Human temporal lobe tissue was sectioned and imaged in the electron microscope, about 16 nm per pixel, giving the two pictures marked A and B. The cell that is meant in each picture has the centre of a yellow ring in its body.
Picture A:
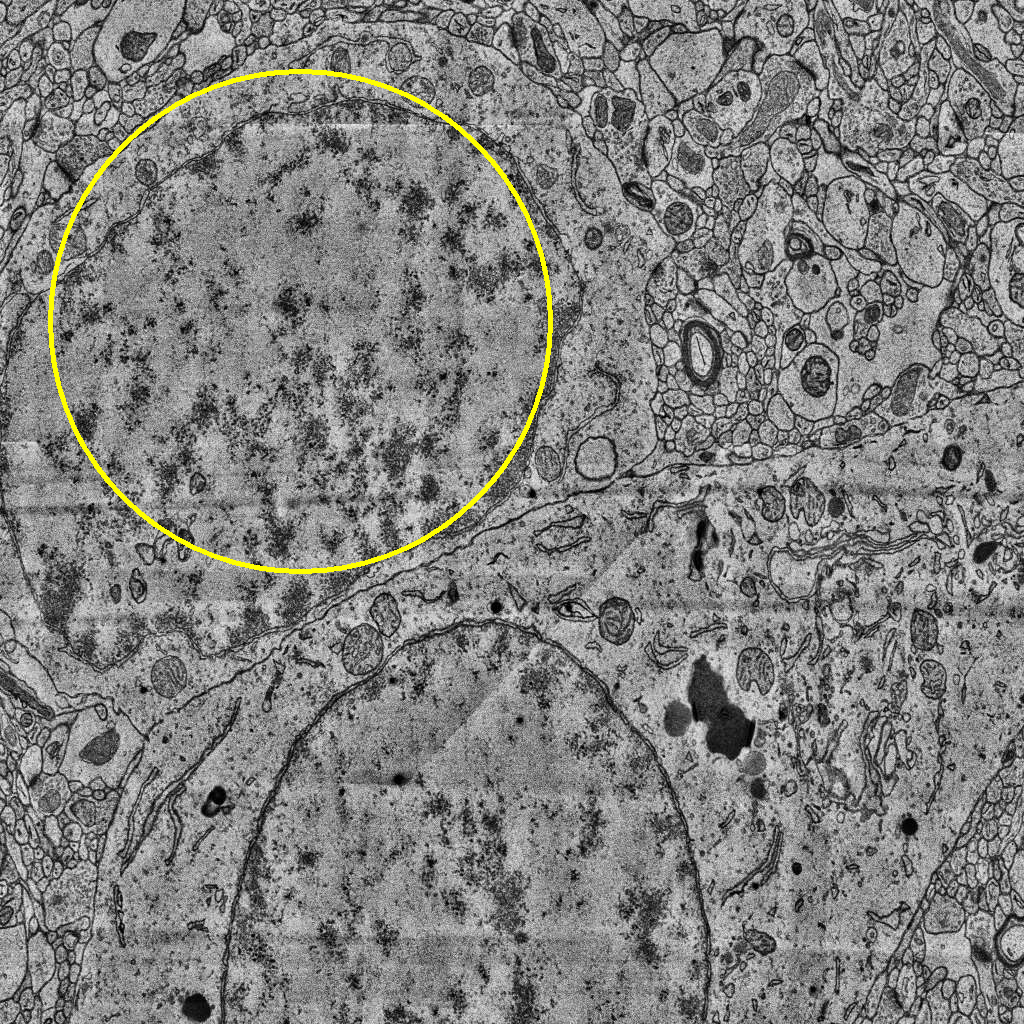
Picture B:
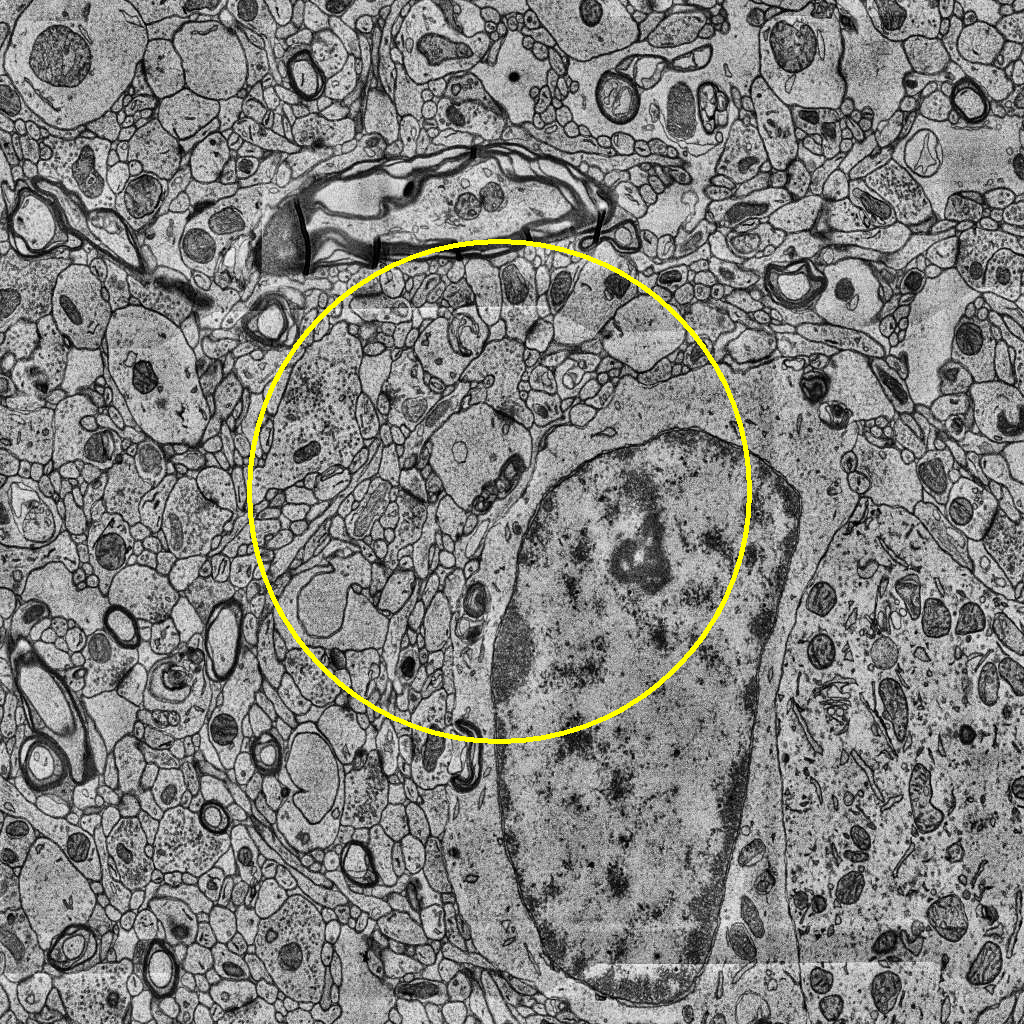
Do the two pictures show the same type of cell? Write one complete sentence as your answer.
No, picture A shows an interneuron and picture B shows an oligodendrocyte.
